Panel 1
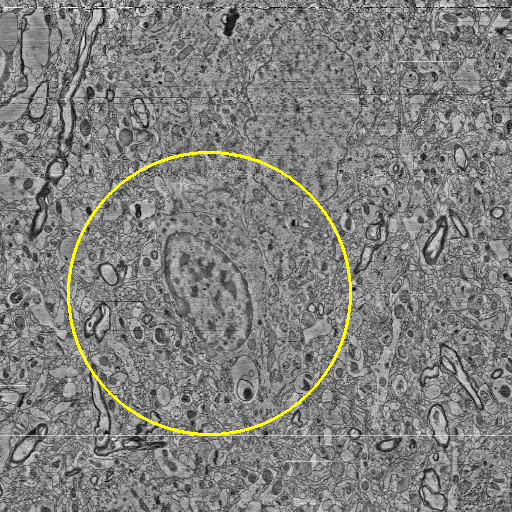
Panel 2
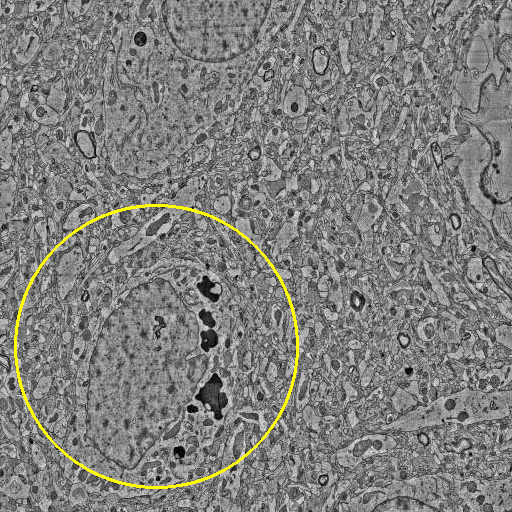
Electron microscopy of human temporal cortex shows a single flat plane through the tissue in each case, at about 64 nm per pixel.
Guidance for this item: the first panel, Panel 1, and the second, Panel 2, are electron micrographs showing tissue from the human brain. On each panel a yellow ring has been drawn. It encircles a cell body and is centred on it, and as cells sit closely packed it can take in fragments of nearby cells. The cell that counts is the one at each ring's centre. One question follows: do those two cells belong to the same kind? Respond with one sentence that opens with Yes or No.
No, the cells at the ring centres in Panel 1 and Panel 2 are of two kinds.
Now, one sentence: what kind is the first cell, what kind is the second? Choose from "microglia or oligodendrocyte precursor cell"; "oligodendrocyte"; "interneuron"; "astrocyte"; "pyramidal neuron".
The first picture has an oligodendrocyte at its ring centre, and the second has an interneuron.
